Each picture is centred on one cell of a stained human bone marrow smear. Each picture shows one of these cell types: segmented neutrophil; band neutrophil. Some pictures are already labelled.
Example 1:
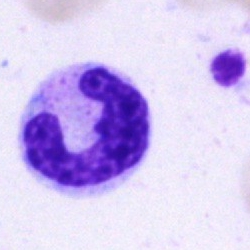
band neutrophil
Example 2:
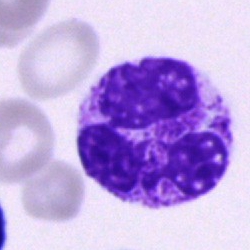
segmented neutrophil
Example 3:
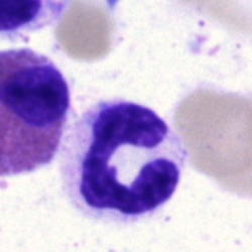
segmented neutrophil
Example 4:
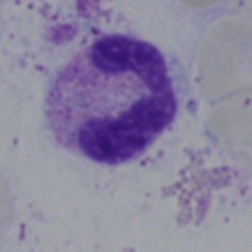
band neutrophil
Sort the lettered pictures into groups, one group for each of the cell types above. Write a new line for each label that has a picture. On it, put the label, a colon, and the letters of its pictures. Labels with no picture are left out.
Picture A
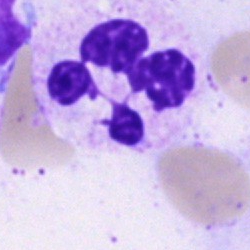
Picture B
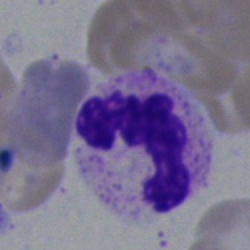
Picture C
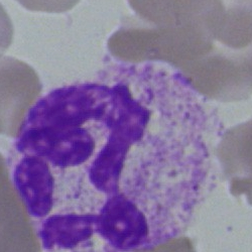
segmented neutrophil: A, B, C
